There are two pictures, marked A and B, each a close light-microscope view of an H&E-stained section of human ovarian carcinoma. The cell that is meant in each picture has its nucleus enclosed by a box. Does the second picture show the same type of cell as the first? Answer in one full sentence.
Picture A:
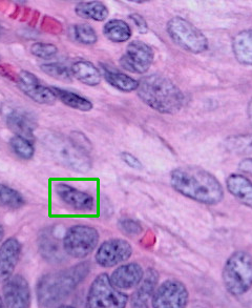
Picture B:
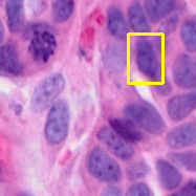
No. Picture A shows a “macrophage or monocyte”, but picture B shows a carcinoma cell.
